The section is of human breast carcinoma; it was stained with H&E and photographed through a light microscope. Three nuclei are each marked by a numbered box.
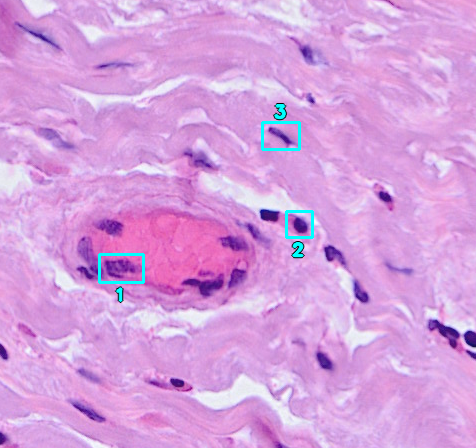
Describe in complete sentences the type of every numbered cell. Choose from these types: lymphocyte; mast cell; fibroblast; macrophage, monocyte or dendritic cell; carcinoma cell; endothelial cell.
Cell 1 is an endothelial cell. Cell 2 is a mast cell. Cell 3 is a fibroblast.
